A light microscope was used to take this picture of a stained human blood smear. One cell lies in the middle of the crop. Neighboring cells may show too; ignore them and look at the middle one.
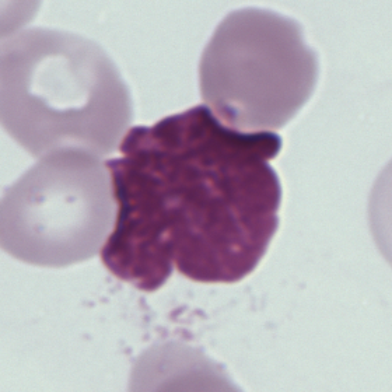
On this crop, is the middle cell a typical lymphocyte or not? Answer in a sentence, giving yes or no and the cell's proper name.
No, the centrally placed cell is a smudge cell, not a typical lymphocyte.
